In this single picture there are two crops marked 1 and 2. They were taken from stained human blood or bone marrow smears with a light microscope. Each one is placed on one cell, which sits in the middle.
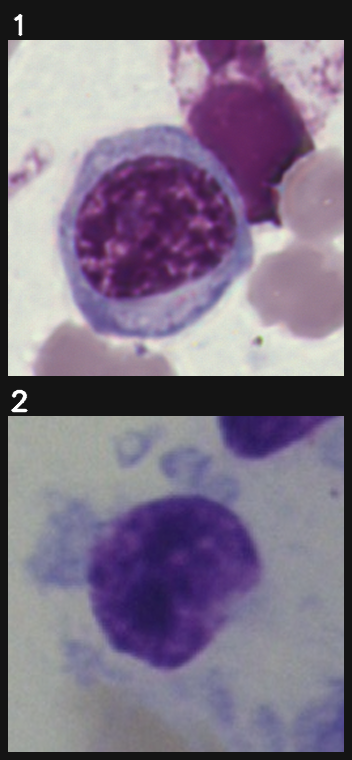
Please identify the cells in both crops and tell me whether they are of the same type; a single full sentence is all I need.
No, sorry, crop 1 shows a plasma cell and crop 2 shows a hairy cell.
